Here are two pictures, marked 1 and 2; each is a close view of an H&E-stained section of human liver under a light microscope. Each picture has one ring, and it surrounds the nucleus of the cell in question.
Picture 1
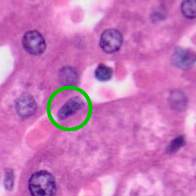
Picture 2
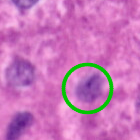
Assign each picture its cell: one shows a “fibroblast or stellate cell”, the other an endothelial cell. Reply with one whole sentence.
In picture 1 the cell is a “fibroblast or stellate cell”; in picture 2, an endothelial cell.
